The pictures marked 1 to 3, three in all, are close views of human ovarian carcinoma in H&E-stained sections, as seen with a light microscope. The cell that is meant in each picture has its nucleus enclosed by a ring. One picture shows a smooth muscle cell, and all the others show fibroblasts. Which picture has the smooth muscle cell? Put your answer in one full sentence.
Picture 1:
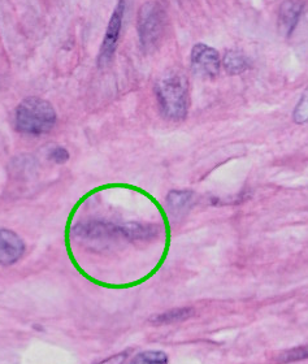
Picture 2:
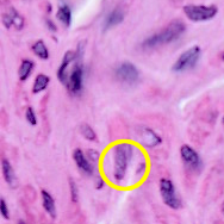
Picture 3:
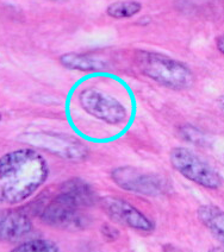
Picture 2 is the one that shows the smooth muscle cell.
